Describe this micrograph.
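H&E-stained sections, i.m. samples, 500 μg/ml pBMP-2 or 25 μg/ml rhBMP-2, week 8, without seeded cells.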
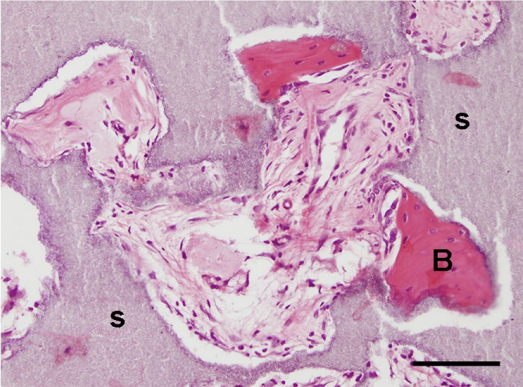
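Here ingrown connective tissue and small pieces of bone lie among the pale lilac scaffold. The bone appears as solid, deep pink, glassy fragments with smooth edges, clearly set apart from the paler tissue around it. The surrounding tissue is loose and fibrous, with light pink wavy fibres and rather few nuclei, many of them slender and spindle-shaped. Compared with a crowded cellular infiltrate, the cells here are widely spaced. White clefts separate the tissue from the granular scaffold.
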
